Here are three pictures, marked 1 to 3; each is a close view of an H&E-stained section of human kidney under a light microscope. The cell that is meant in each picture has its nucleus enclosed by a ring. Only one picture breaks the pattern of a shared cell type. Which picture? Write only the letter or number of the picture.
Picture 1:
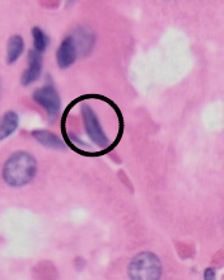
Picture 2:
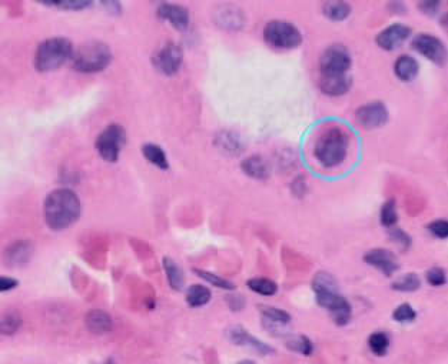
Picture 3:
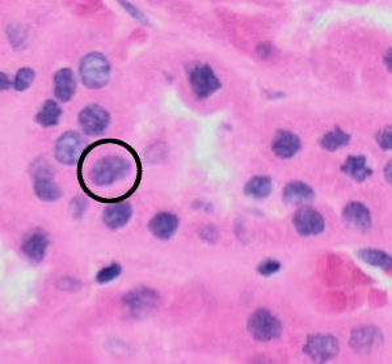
1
